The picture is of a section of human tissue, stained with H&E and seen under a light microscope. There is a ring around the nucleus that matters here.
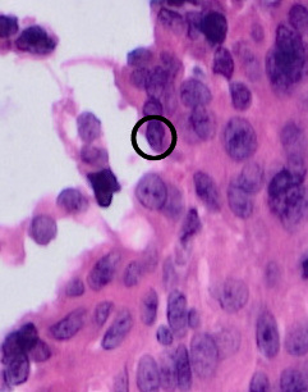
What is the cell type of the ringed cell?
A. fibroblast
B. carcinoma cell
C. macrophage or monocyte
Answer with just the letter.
B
